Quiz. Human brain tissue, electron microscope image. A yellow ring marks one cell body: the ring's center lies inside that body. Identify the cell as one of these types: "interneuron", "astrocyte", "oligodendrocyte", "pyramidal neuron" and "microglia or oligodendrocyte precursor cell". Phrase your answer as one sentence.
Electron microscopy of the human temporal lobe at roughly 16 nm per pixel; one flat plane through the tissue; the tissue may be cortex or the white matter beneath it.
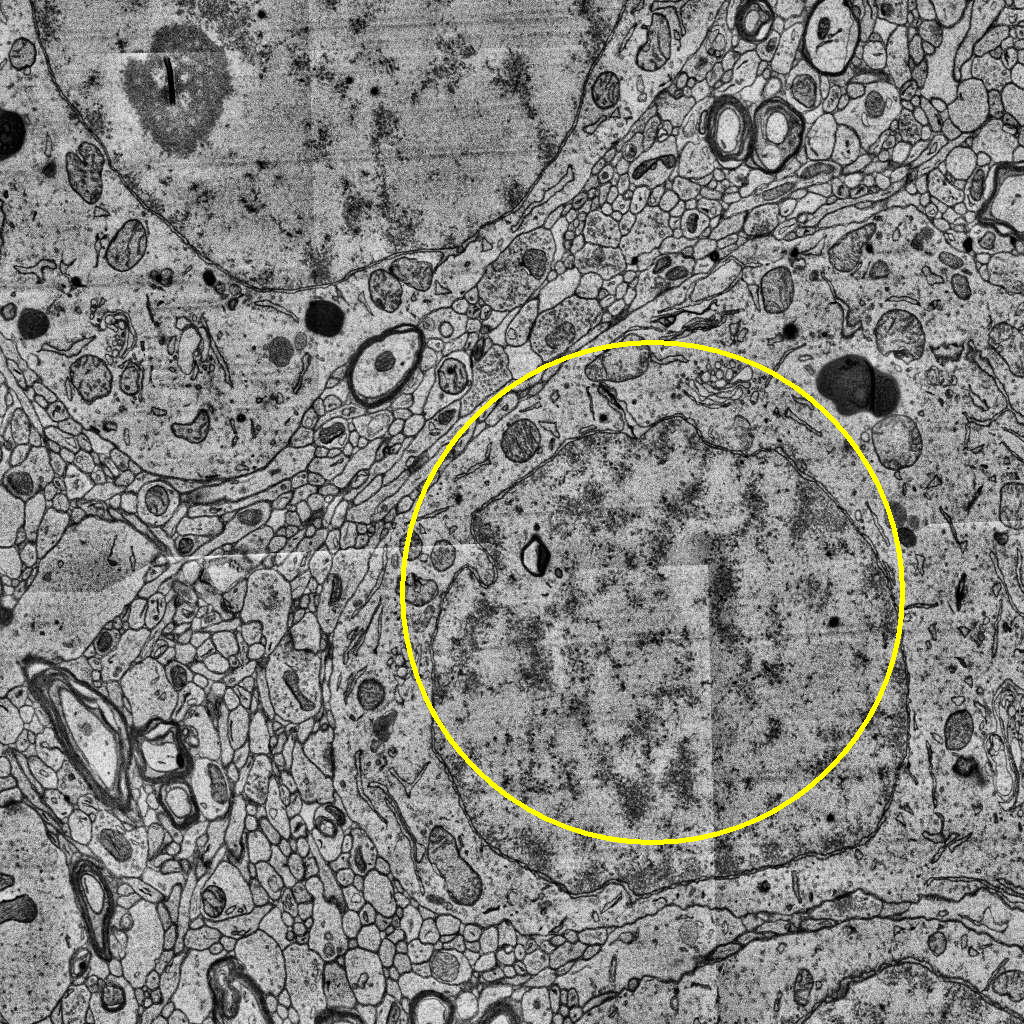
At the center of the ring sits an interneuron.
